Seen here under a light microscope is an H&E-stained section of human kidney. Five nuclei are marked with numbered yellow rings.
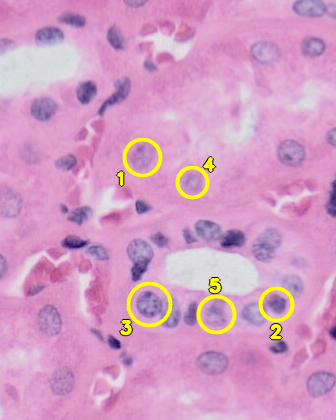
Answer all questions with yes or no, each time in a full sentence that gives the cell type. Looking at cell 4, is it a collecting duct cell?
No, cell 4 is not a collecting duct cell, but is instead a proximal tubule cell.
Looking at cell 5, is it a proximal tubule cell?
No, cell 5 is a collecting duct cell; it is not a proximal tubule cell.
